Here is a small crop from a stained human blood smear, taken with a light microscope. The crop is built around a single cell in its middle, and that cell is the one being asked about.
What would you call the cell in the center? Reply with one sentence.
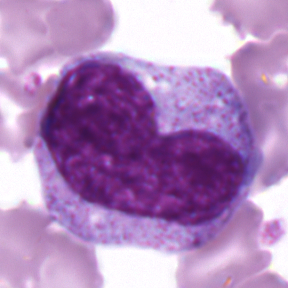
Within this crop, a promyelocyte occupies the central position.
